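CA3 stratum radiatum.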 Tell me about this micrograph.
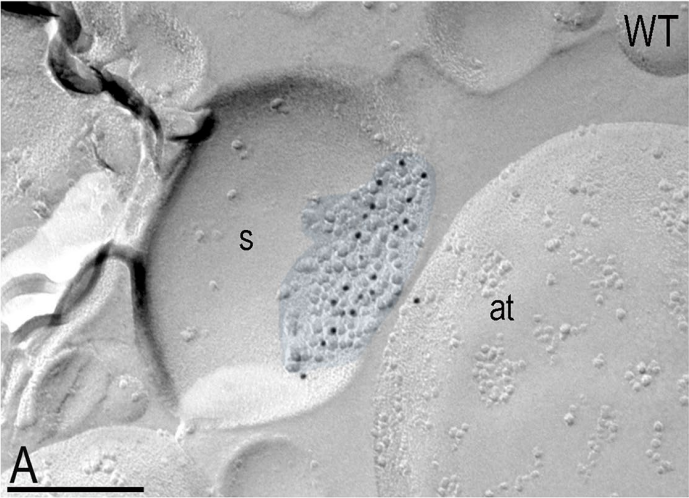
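A freeze-fracture replica shows a smooth, rounded membrane profile with a sharply bounded, blue-tinted patch of densely packed intramembrane particles, over which many small dark gold dots are clustered. Next to it lies a larger fractured face with scattered clumps of particles.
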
